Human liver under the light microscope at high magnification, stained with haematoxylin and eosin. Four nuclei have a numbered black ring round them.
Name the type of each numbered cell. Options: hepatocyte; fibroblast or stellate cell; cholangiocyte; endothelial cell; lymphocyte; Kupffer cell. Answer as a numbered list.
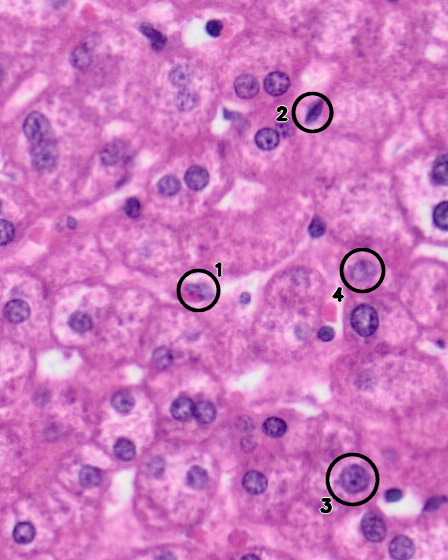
1. Kupffer cell
2. endothelial cell
3. hepatocyte
4. hepatocyte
